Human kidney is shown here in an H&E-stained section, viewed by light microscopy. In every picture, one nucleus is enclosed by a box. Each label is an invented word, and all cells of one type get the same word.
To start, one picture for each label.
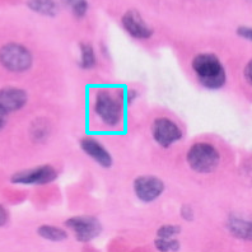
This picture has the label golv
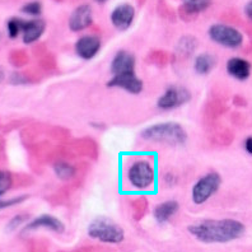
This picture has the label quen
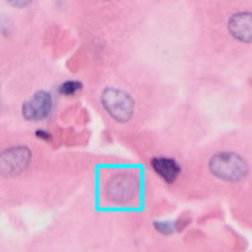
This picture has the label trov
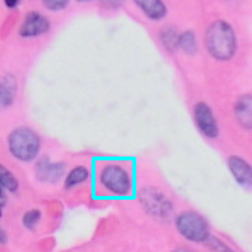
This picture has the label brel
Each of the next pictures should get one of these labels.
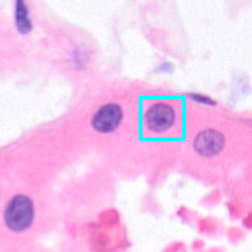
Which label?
trov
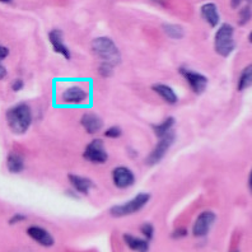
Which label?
quen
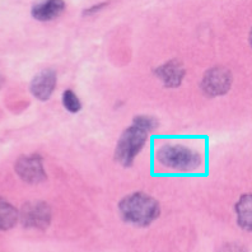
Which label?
quen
